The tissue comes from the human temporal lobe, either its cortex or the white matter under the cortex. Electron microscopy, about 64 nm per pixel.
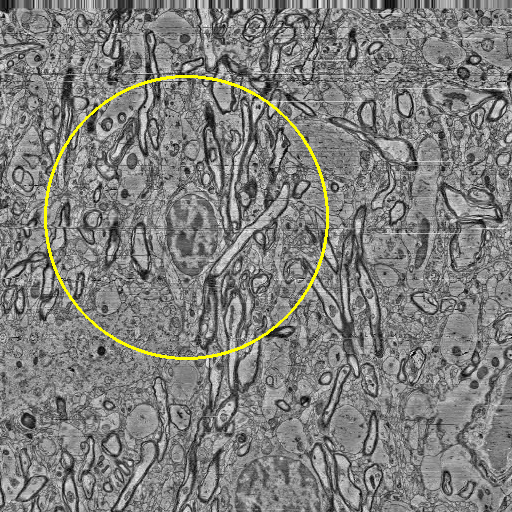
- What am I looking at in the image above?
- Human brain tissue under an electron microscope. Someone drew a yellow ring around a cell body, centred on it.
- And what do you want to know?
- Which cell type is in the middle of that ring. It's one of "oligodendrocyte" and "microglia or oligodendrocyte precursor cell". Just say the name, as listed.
microglia or oligodendrocyte precursor cell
